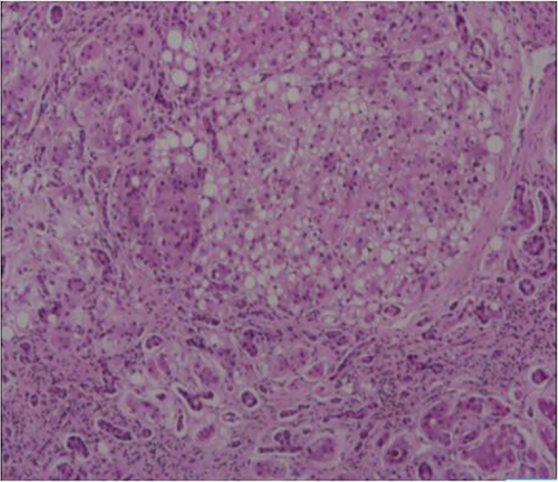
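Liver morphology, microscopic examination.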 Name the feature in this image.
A: pseudolobules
